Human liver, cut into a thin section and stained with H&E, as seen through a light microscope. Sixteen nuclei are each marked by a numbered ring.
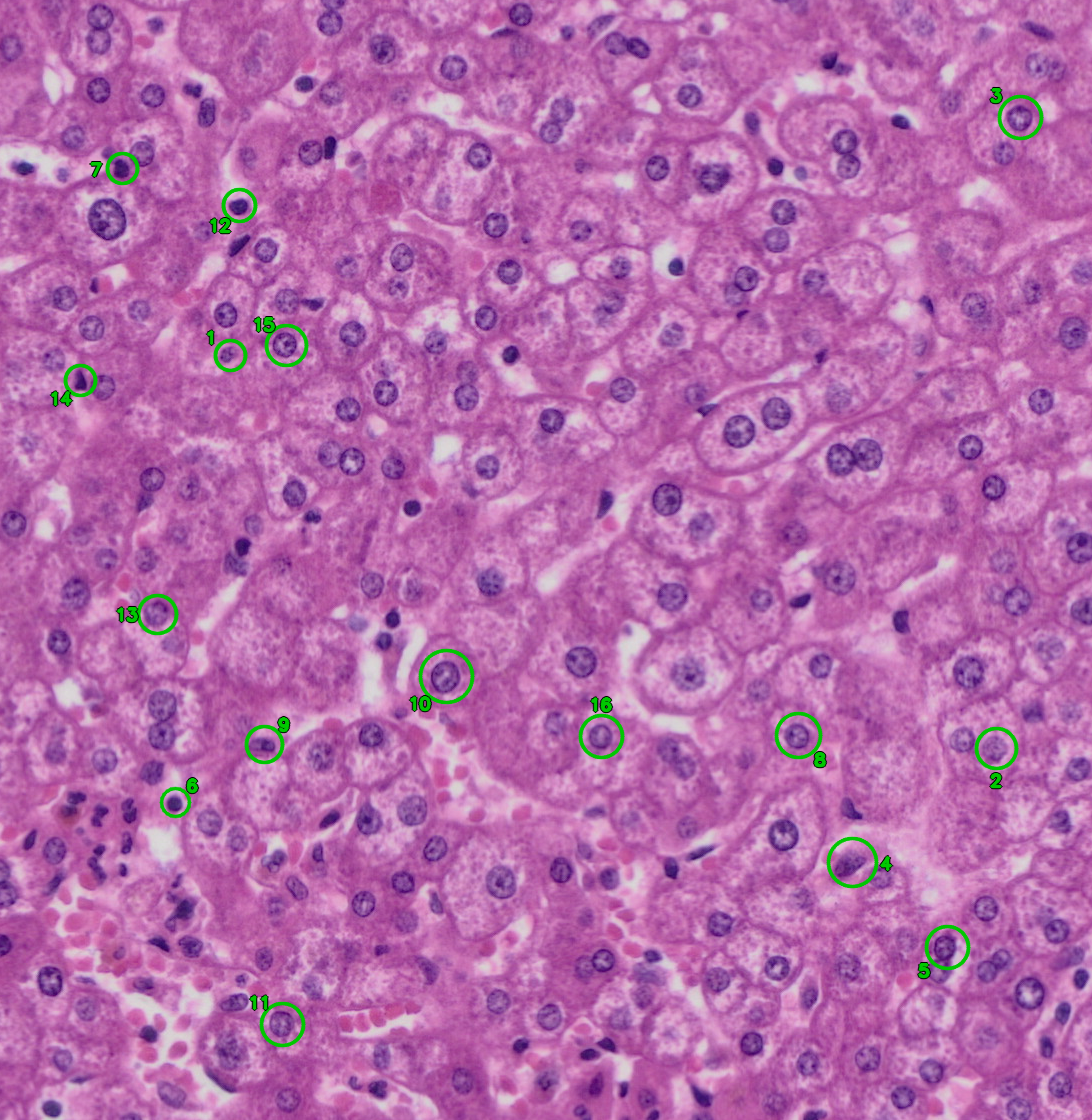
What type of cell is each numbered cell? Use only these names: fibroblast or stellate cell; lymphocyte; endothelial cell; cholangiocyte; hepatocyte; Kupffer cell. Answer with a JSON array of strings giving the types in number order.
["lymphocyte", "hepatocyte", "hepatocyte", "Kupffer cell", "hepatocyte", "lymphocyte", "fibroblast or stellate cell", "hepatocyte", "Kupffer cell", "hepatocyte", "hepatocyte", "lymphocyte", "hepatocyte", "fibroblast or stellate cell", "hepatocyte", "hepatocyte"]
